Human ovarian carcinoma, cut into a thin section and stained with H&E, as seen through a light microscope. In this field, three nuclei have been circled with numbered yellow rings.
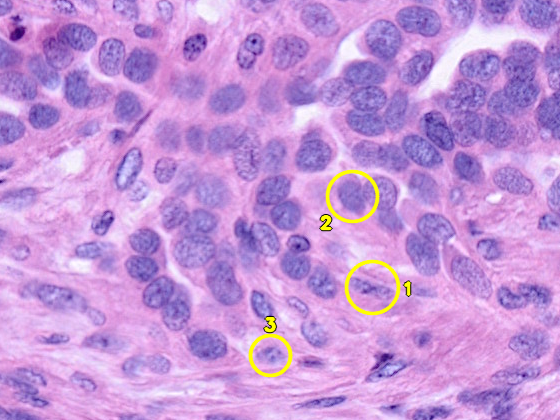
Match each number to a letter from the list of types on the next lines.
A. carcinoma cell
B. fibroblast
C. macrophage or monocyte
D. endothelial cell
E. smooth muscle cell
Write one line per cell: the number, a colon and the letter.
1: B
2: A
3: B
